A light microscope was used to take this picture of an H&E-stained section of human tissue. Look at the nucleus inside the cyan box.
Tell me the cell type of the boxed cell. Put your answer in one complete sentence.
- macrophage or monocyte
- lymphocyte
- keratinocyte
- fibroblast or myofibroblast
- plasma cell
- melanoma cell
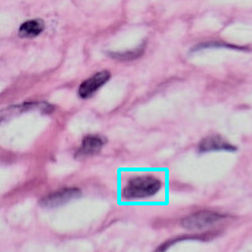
The cell meant here is a macrophage or monocyte.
